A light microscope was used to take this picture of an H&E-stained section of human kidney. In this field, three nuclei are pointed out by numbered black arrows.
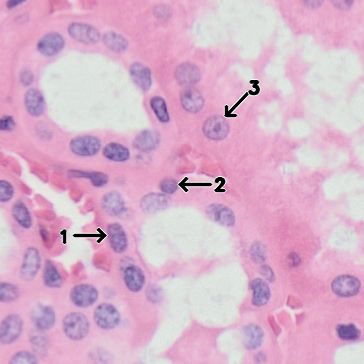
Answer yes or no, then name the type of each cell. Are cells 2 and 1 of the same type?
Yes, both are collecting duct cells.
